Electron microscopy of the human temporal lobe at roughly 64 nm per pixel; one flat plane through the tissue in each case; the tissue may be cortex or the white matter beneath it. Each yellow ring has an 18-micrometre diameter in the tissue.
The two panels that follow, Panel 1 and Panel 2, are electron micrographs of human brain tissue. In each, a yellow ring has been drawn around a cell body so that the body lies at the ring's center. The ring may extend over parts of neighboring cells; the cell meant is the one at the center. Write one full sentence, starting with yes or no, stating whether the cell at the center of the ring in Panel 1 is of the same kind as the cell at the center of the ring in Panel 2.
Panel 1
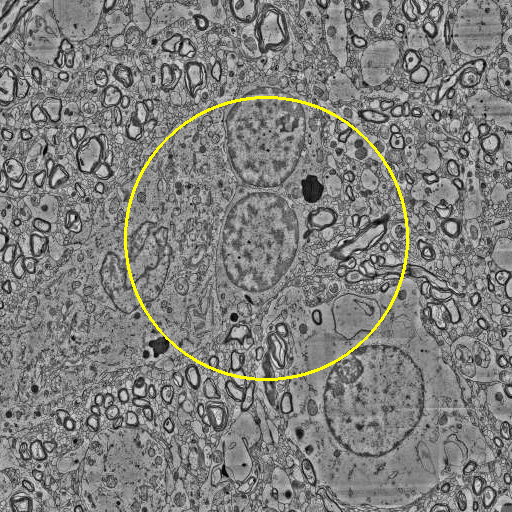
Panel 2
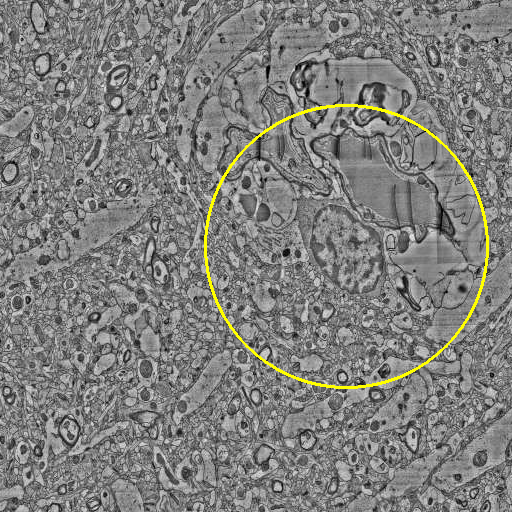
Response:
Yes, the cells in both panels are of the same kind.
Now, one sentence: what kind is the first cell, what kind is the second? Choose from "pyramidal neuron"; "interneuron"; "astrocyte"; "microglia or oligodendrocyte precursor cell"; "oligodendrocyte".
The second cell is an oligodendrocyte, just as the first is.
